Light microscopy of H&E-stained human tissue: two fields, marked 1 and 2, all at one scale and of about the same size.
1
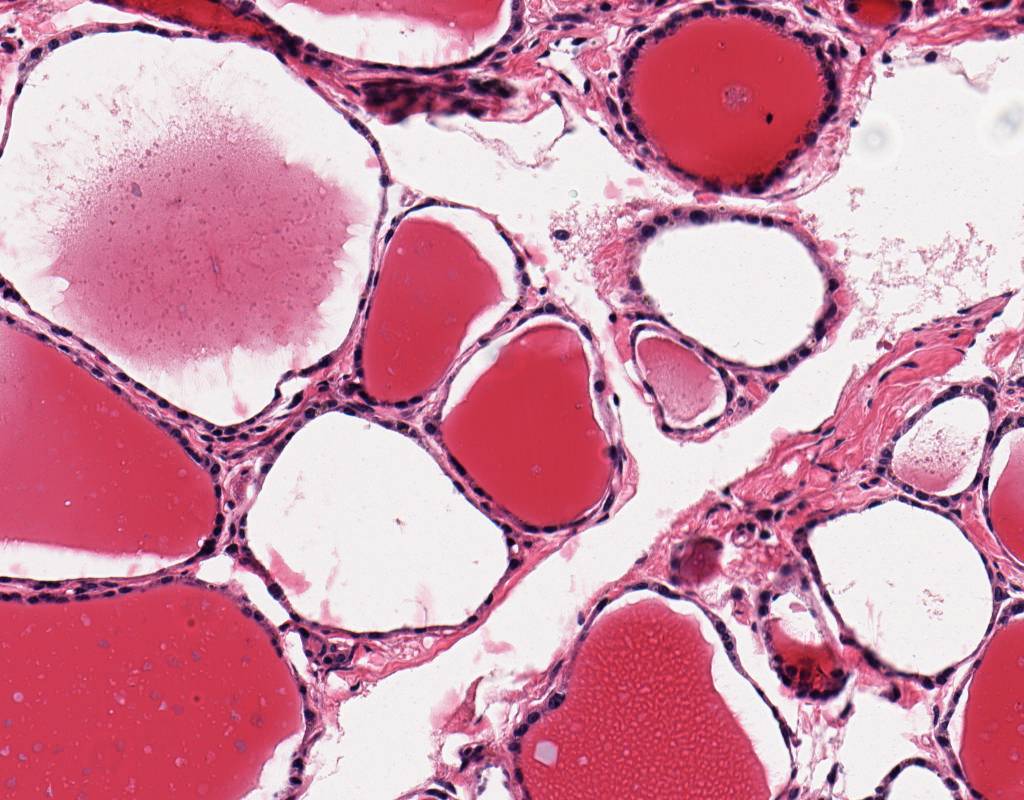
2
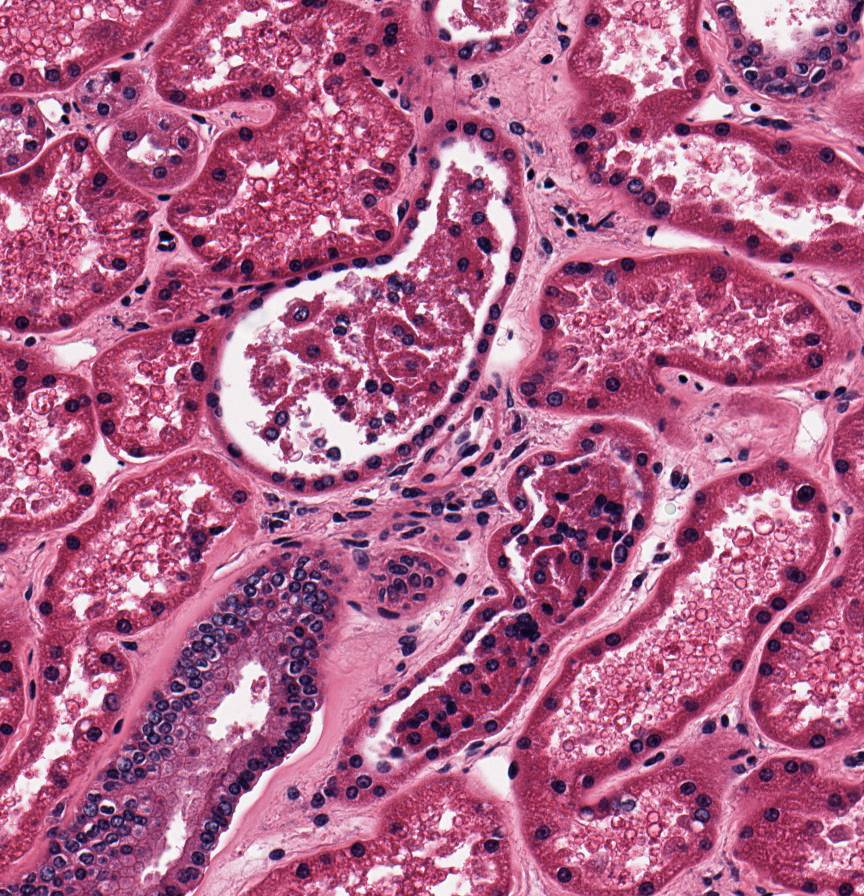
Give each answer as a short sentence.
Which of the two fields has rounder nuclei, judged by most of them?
The nuclei are rounder in field 2.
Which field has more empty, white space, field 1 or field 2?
More of field 1 is empty and white.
